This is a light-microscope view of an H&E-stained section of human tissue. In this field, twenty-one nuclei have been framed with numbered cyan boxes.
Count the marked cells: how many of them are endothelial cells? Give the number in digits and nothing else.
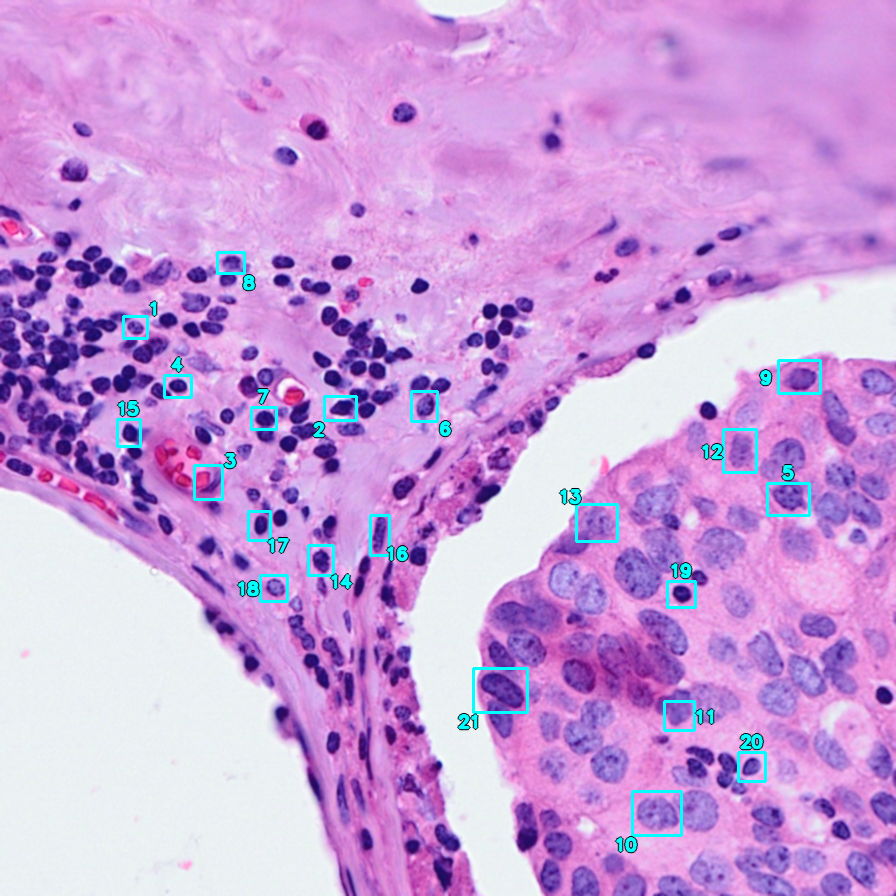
1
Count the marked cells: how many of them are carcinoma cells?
7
